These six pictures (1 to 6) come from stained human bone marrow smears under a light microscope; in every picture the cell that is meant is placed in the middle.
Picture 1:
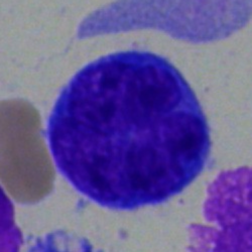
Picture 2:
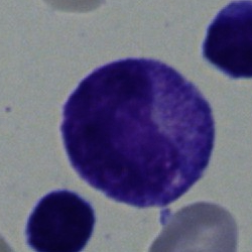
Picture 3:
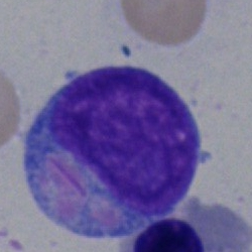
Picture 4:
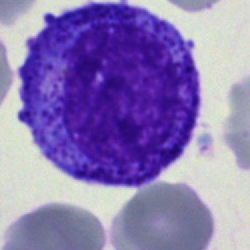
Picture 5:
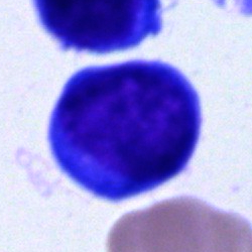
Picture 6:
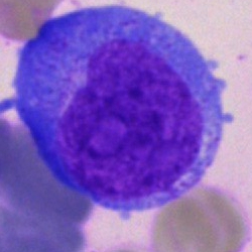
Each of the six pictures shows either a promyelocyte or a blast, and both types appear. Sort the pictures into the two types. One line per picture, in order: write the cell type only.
blast
promyelocyte
blast
promyelocyte
blast
blast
